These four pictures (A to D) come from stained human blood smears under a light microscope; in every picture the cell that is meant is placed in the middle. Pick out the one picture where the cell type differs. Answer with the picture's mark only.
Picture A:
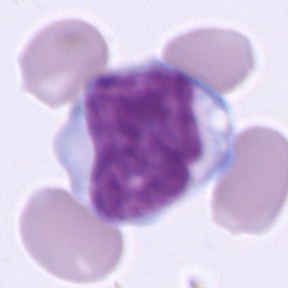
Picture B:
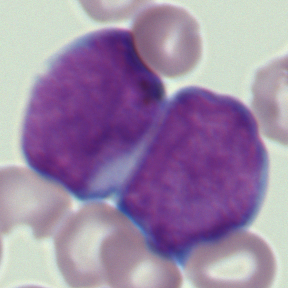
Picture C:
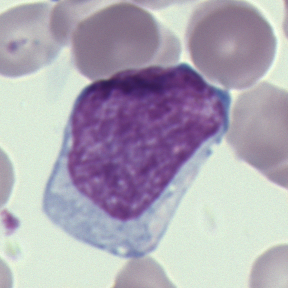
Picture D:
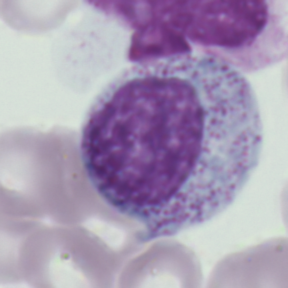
D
